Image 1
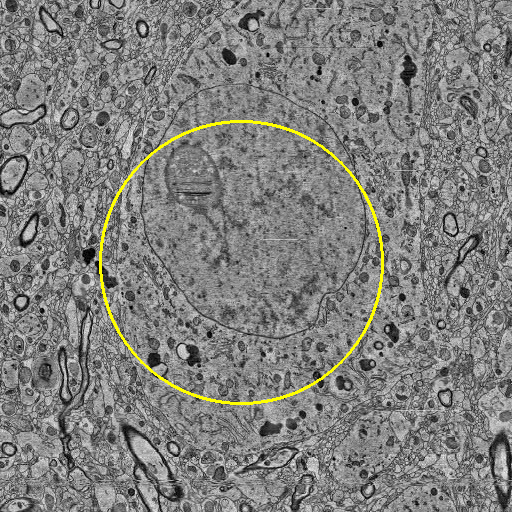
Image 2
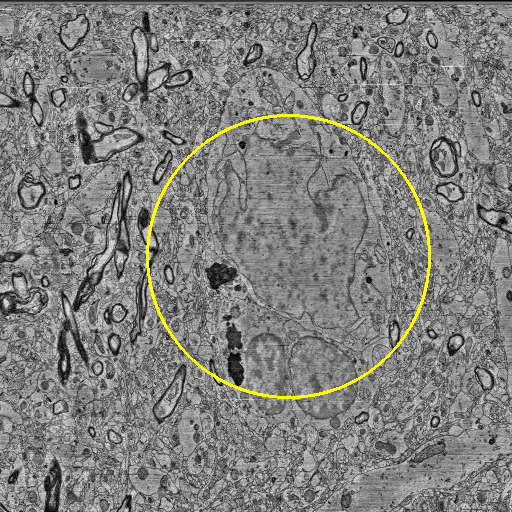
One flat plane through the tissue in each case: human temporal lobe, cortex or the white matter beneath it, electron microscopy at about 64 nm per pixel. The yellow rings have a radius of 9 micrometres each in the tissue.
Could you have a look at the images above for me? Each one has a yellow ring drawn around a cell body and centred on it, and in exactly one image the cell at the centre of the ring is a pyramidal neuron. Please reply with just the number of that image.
1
